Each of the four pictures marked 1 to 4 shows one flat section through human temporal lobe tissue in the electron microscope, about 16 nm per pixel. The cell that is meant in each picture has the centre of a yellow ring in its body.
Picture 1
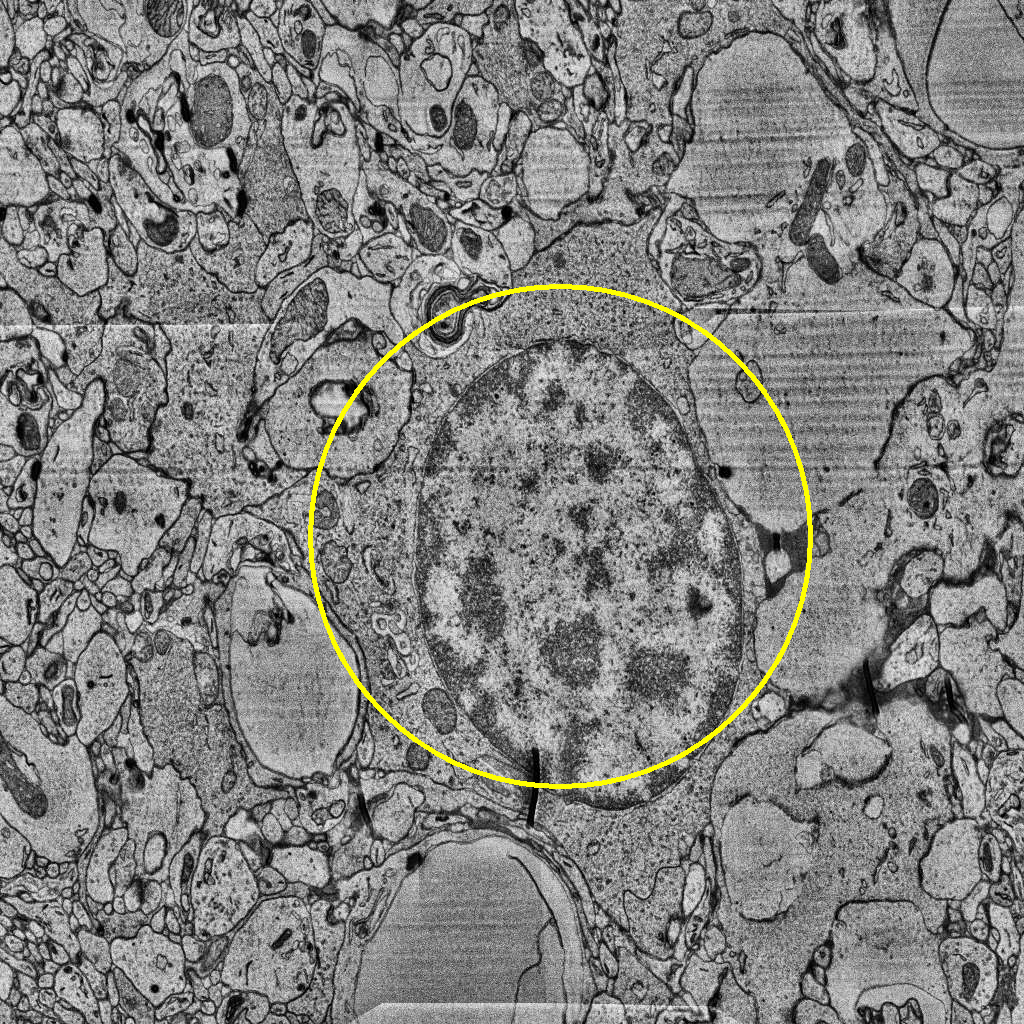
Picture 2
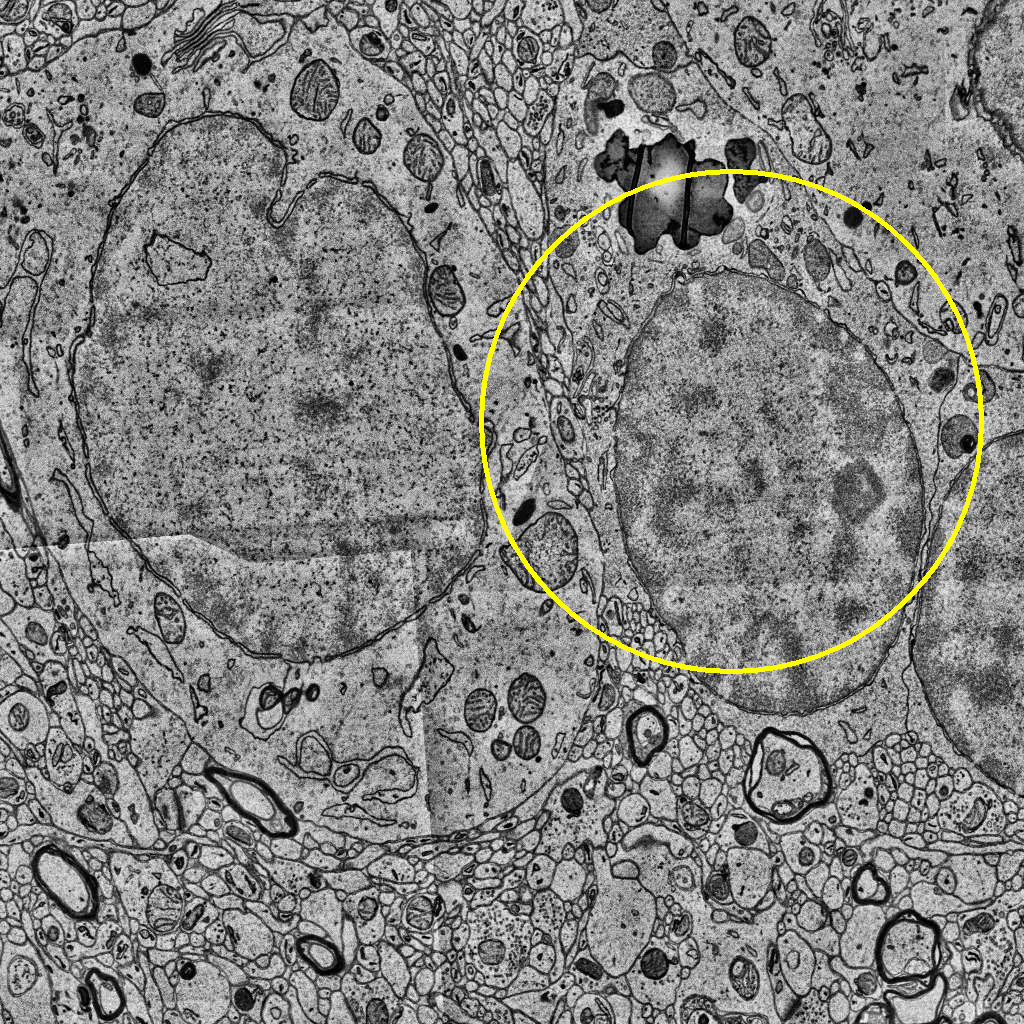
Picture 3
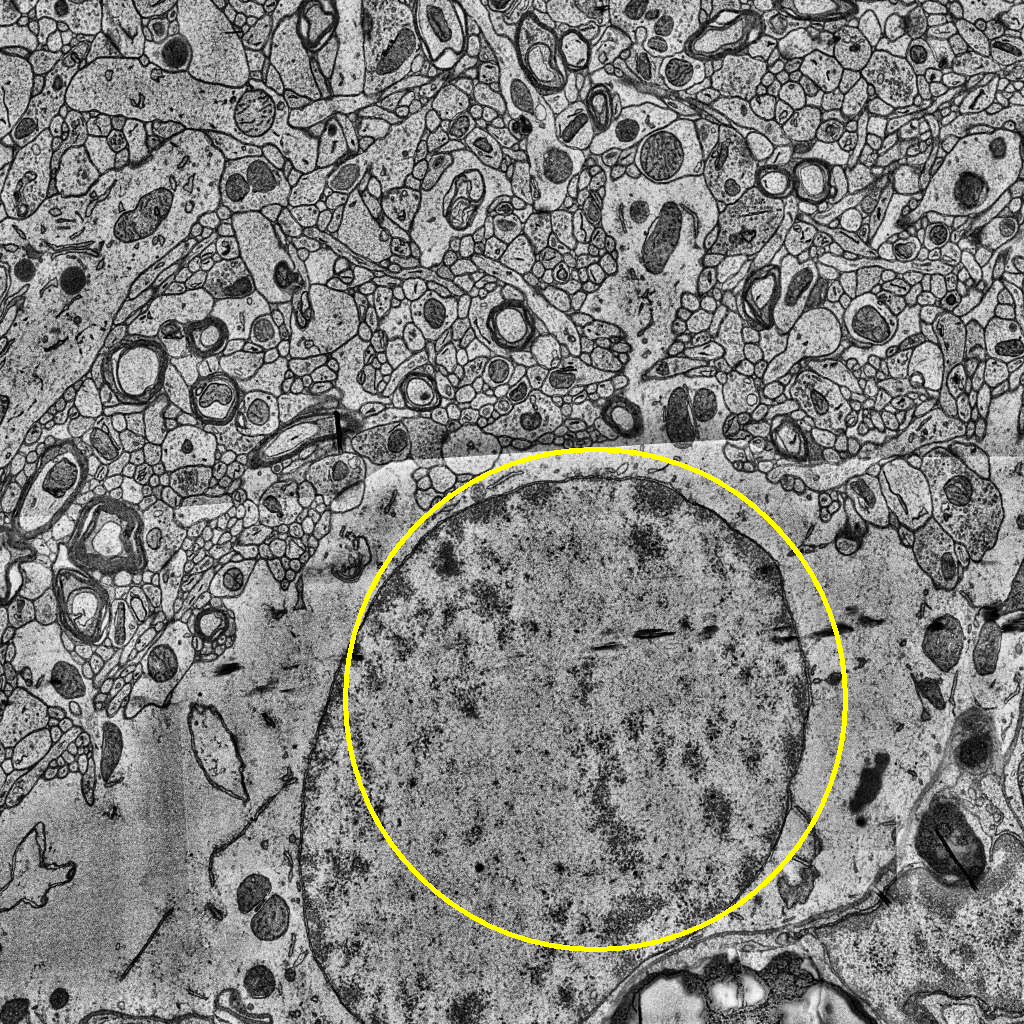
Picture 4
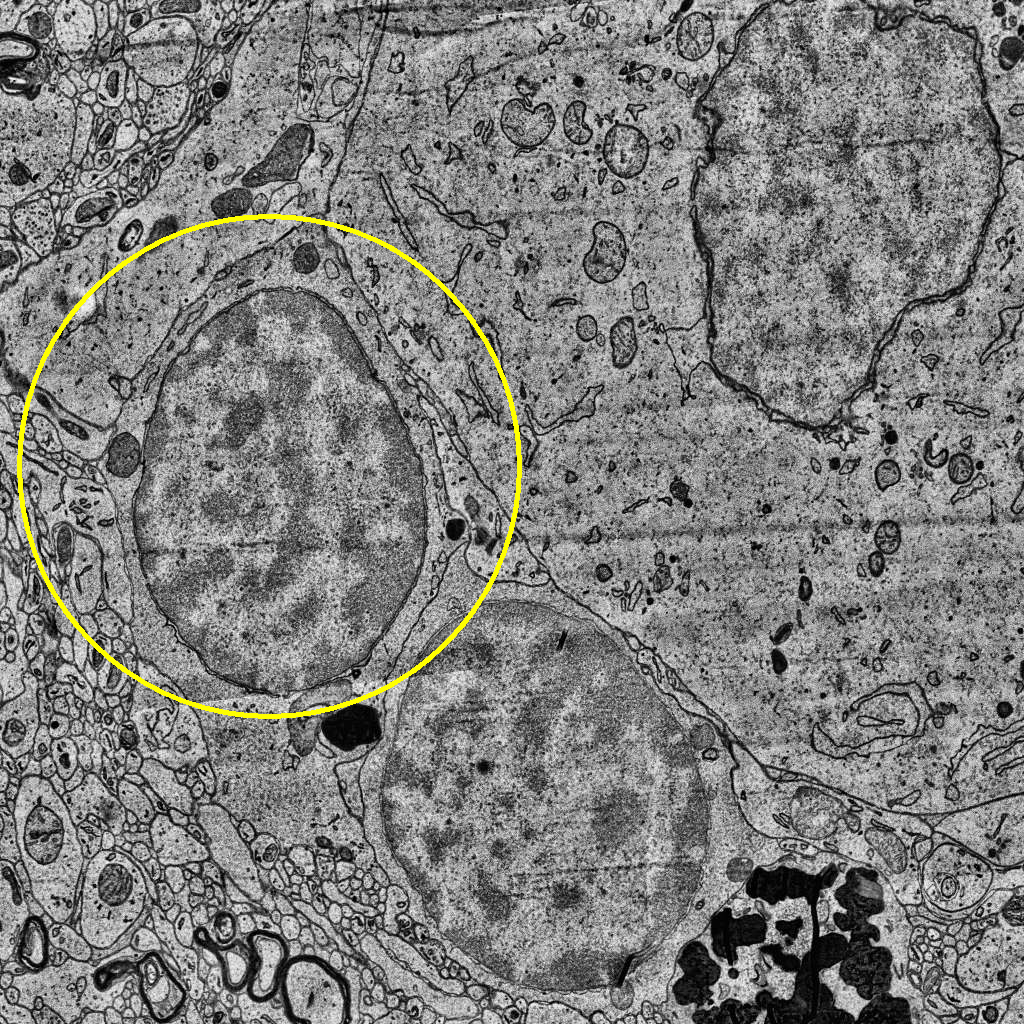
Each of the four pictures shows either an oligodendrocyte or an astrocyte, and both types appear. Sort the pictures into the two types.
Pictures 1, 2 and 4 show oligodendrocytes; picture 3 shows an astrocyte.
